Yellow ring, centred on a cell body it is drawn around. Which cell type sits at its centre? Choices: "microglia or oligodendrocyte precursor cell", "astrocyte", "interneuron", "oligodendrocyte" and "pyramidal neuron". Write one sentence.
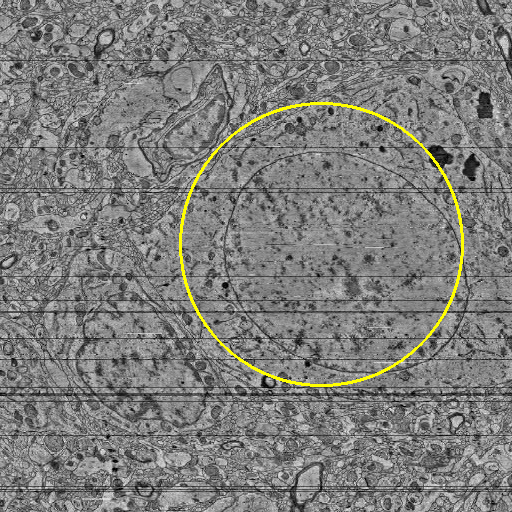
At the centre of the ring sits a pyramidal neuron.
